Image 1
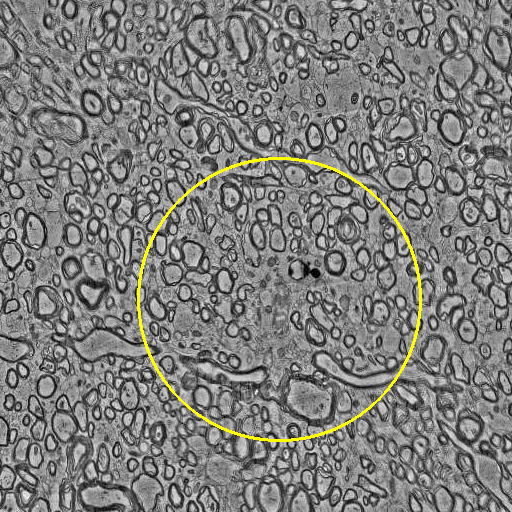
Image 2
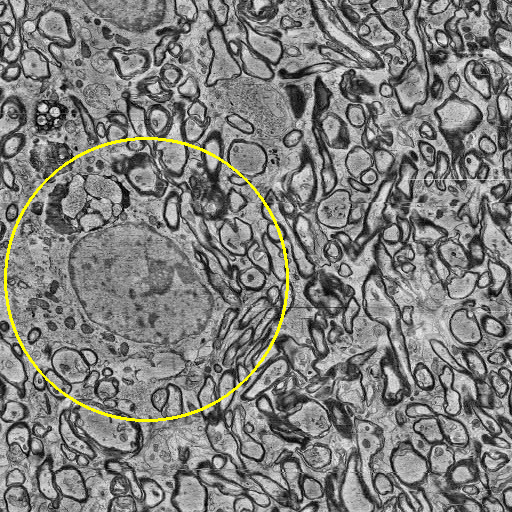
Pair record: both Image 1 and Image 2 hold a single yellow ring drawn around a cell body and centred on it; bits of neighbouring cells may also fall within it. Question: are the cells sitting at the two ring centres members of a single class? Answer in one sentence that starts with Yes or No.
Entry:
No, the ring-centre cells in Image 1 and Image 2 come from two classes.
